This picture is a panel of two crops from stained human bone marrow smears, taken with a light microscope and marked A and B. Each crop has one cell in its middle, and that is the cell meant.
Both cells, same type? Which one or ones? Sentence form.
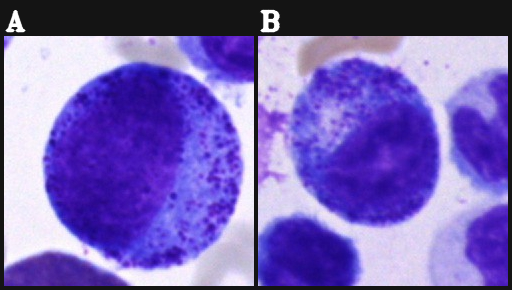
Yes, the two crops both show promyelocytes.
